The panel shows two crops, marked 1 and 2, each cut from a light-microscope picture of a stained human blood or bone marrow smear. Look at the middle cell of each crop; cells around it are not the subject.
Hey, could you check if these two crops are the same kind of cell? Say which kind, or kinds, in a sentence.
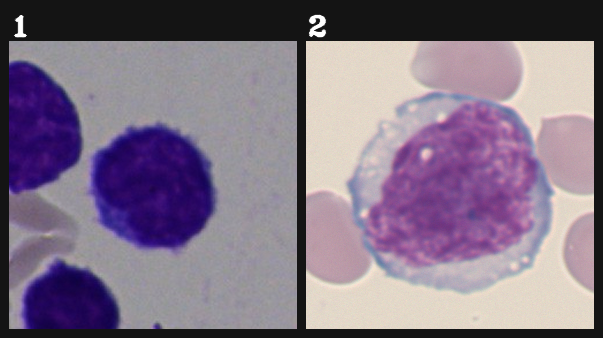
Yes, what both crops show is blasts.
